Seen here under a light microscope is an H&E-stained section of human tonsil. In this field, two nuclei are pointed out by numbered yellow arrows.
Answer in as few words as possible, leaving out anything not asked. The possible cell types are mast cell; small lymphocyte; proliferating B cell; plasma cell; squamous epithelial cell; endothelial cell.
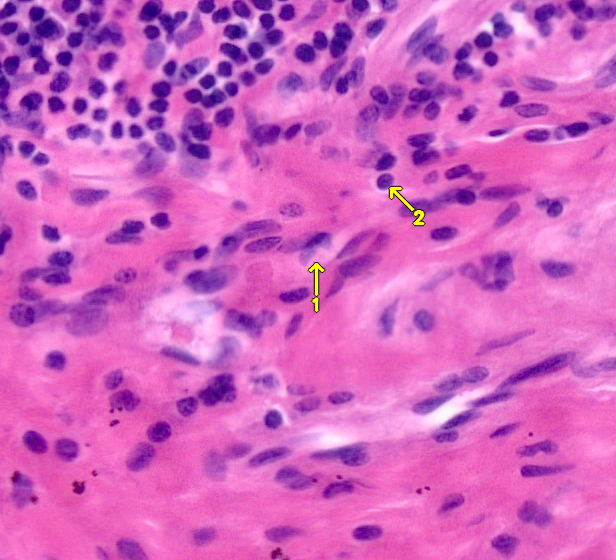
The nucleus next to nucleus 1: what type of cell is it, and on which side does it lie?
an endothelial cell, to the left of nucleus 1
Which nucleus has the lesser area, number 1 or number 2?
2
